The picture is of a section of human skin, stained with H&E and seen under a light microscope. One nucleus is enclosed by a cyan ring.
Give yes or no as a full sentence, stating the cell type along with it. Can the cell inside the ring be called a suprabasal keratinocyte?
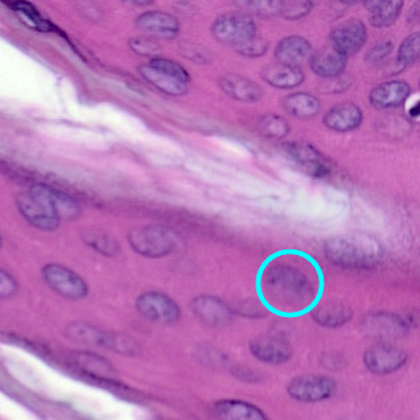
Yes, the cell inside the ring is accurately described as a suprabasal keratinocyte.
